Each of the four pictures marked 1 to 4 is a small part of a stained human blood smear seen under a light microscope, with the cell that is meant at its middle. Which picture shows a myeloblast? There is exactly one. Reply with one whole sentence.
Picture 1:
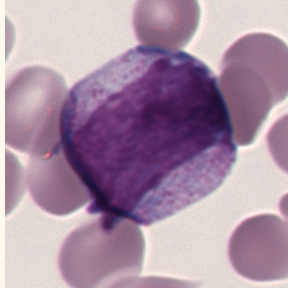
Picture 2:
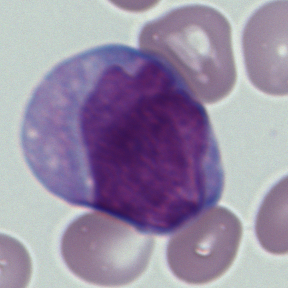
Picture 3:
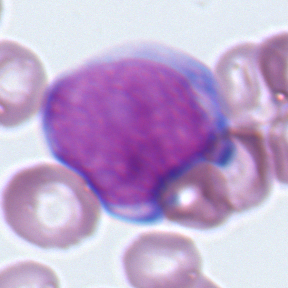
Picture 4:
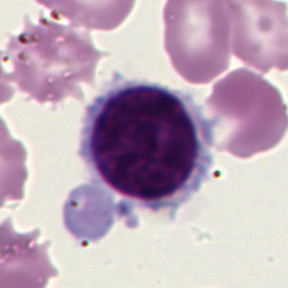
Picture 3 shows the myeloblast.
